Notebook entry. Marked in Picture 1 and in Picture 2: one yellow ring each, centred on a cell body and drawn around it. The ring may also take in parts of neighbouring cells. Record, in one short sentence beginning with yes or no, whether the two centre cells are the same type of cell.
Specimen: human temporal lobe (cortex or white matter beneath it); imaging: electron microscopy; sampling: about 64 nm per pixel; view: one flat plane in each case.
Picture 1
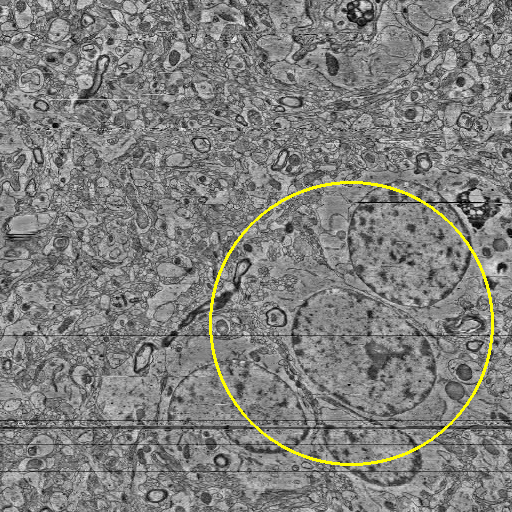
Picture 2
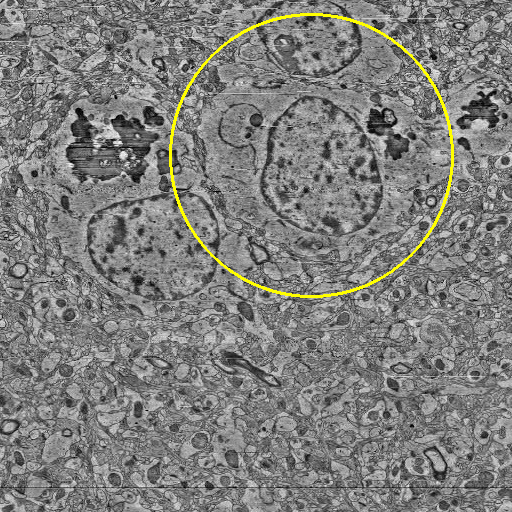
Yes, both are the same type of cell.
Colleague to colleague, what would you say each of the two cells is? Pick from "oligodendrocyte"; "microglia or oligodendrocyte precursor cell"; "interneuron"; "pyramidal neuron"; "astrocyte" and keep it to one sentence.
In each picture the ringed cell is an astrocyte.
